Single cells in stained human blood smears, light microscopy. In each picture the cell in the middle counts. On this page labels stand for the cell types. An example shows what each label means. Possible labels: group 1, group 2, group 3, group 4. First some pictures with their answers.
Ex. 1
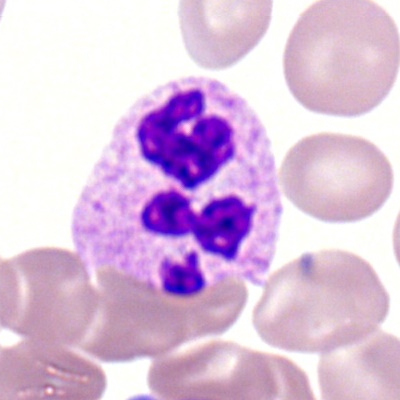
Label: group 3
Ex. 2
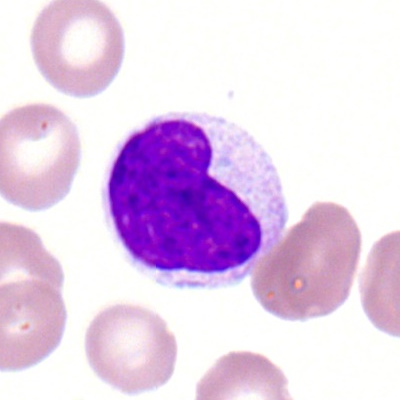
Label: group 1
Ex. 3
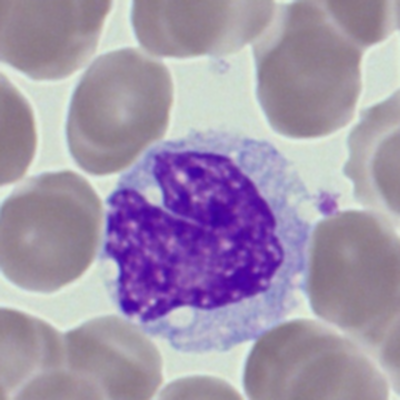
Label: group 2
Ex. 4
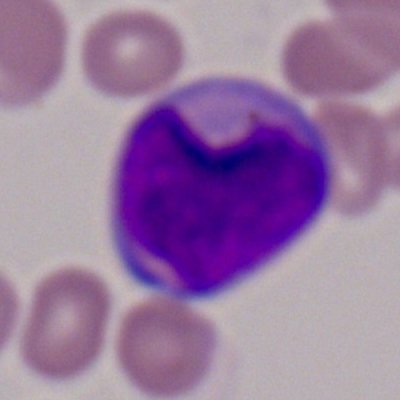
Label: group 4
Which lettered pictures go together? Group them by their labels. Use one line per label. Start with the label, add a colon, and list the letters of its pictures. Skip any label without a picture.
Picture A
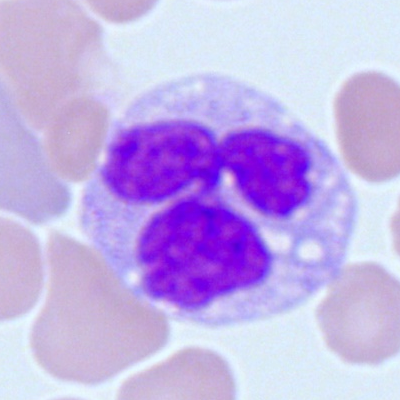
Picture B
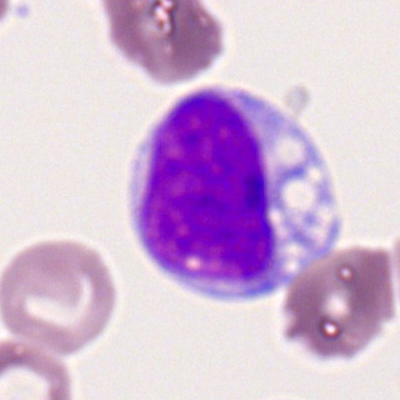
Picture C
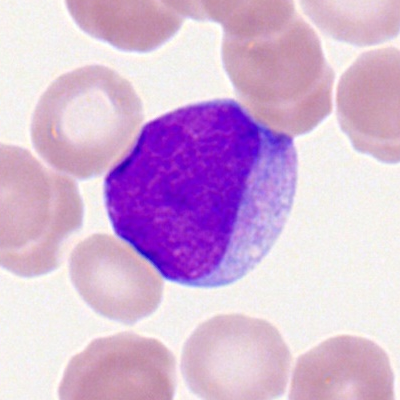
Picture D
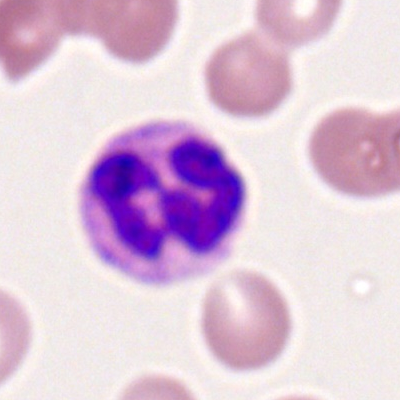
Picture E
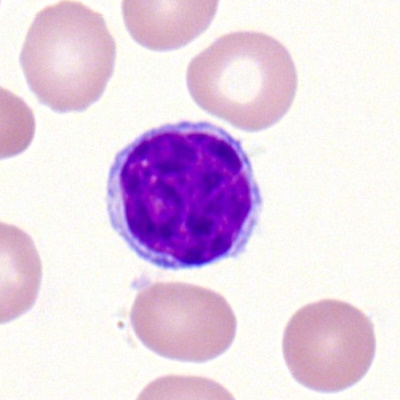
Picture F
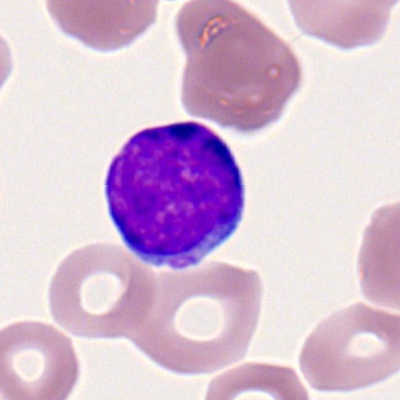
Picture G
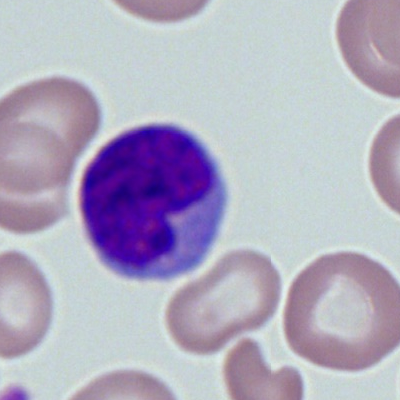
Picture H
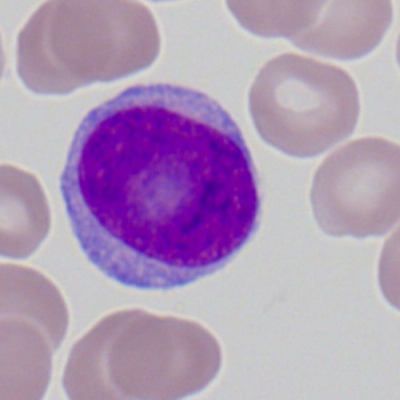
group 1: E, F, G
group 2: A, B
group 3: D
group 4: C, H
